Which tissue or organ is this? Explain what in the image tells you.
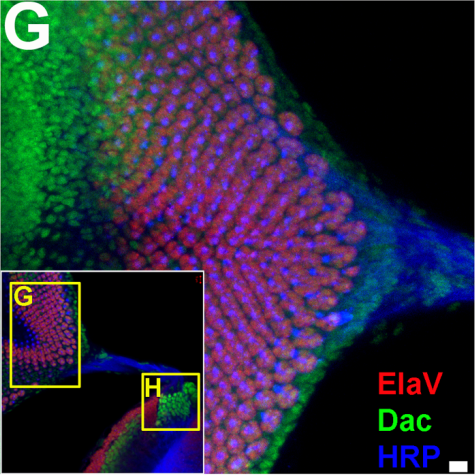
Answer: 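A band of green nuclei lies ahead of the red clustered region. That points to this answer: eye disc.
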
